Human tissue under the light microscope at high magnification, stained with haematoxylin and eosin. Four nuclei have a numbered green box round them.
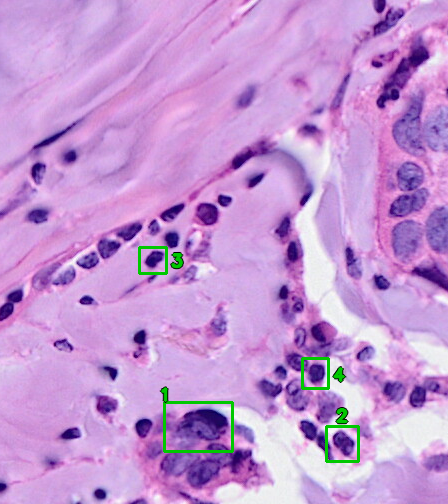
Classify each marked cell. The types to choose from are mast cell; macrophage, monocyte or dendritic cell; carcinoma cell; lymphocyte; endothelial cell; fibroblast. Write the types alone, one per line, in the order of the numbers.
carcinoma cell
lymphocyte
lymphocyte
lymphocyte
